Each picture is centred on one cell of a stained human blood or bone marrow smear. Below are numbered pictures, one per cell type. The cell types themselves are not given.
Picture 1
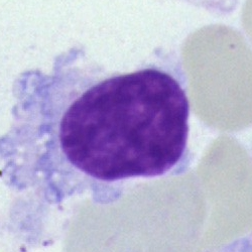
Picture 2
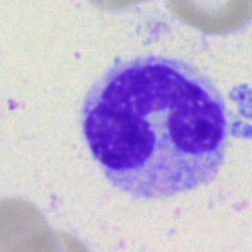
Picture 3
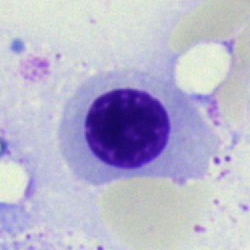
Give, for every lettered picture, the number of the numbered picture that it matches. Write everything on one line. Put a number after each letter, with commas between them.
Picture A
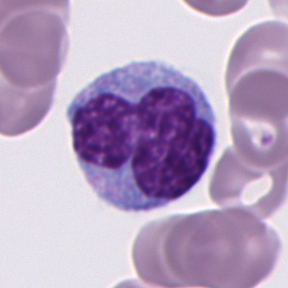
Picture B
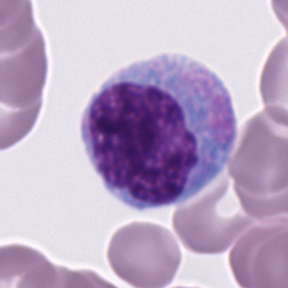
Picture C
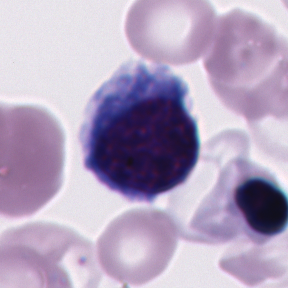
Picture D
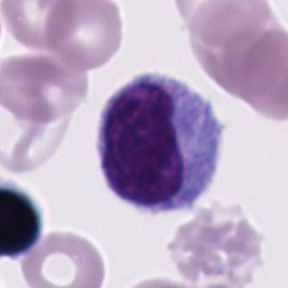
A 2, B 2, C 3, D 3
